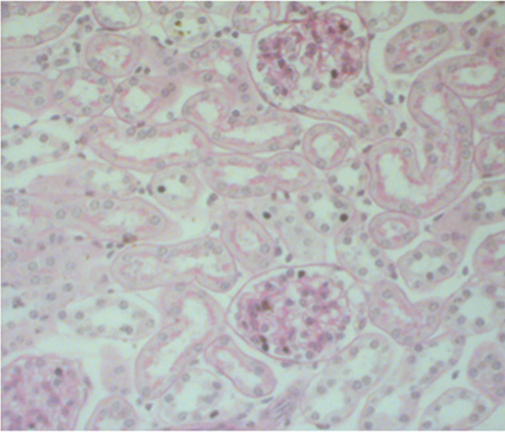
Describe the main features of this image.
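This section of renal cortex shows glomeruli among closely packed tubules, all stained a pale pink. The glomerular tufts are rounded and fill most of their capsules, leaving only a narrow space around them. The tubules are lined by cuboidal epithelial cells with round nuclei and pink cytoplasm. Their basement membranes appear as fine, thin pink lines. The tubules lie close together with little tissue between them.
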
